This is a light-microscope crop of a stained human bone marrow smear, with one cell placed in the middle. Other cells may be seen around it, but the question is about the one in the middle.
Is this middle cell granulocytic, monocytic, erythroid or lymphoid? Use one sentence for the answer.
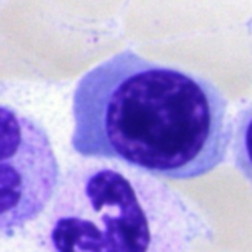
Attributed to the erythroid lineage is the centrally located cell.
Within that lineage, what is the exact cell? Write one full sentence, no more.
The cell that lies at the centre of the crop is an erythroblast.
